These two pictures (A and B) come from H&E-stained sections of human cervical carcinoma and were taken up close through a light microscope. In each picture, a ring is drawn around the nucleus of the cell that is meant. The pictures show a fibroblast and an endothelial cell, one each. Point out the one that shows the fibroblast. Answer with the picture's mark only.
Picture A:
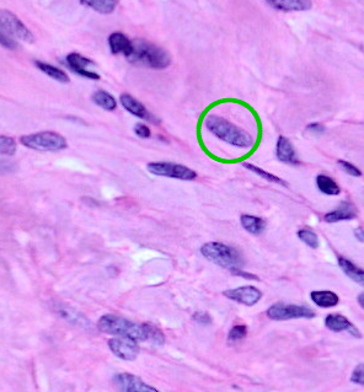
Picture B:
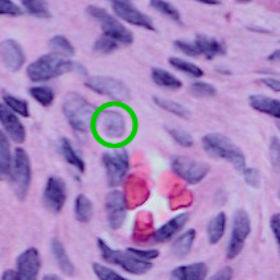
A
